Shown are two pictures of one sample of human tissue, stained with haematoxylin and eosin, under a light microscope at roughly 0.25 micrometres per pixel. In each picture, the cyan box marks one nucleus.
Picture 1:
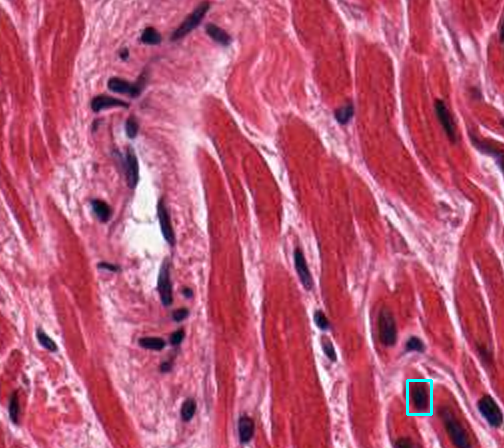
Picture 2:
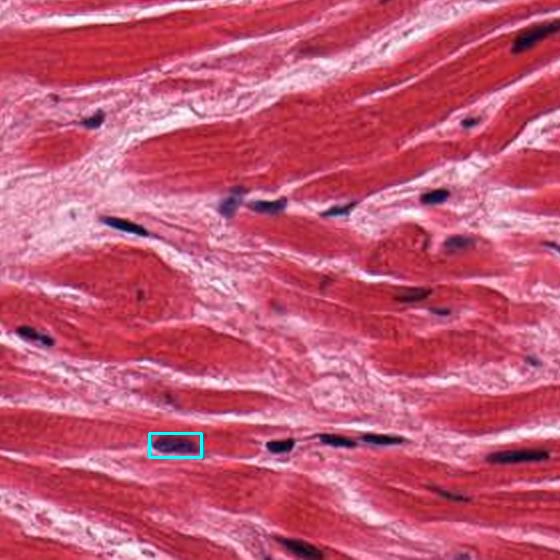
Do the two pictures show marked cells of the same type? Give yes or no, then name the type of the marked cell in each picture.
Yes, both are cardiomyocytes.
